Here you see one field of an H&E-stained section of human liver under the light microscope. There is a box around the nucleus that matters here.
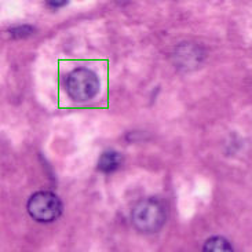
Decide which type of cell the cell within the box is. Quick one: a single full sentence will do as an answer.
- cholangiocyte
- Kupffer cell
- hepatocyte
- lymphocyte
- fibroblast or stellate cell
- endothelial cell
In this preparation, the cell within the box is a hepatocyte.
